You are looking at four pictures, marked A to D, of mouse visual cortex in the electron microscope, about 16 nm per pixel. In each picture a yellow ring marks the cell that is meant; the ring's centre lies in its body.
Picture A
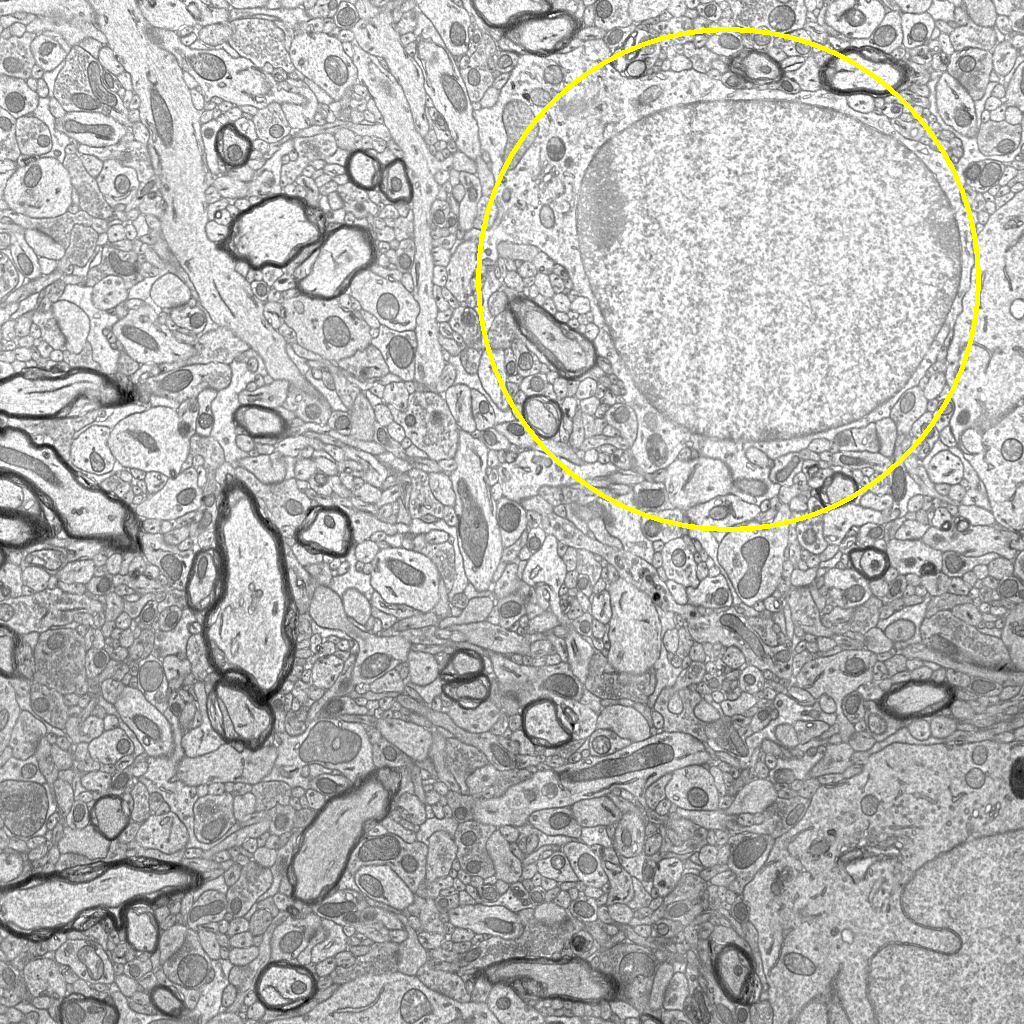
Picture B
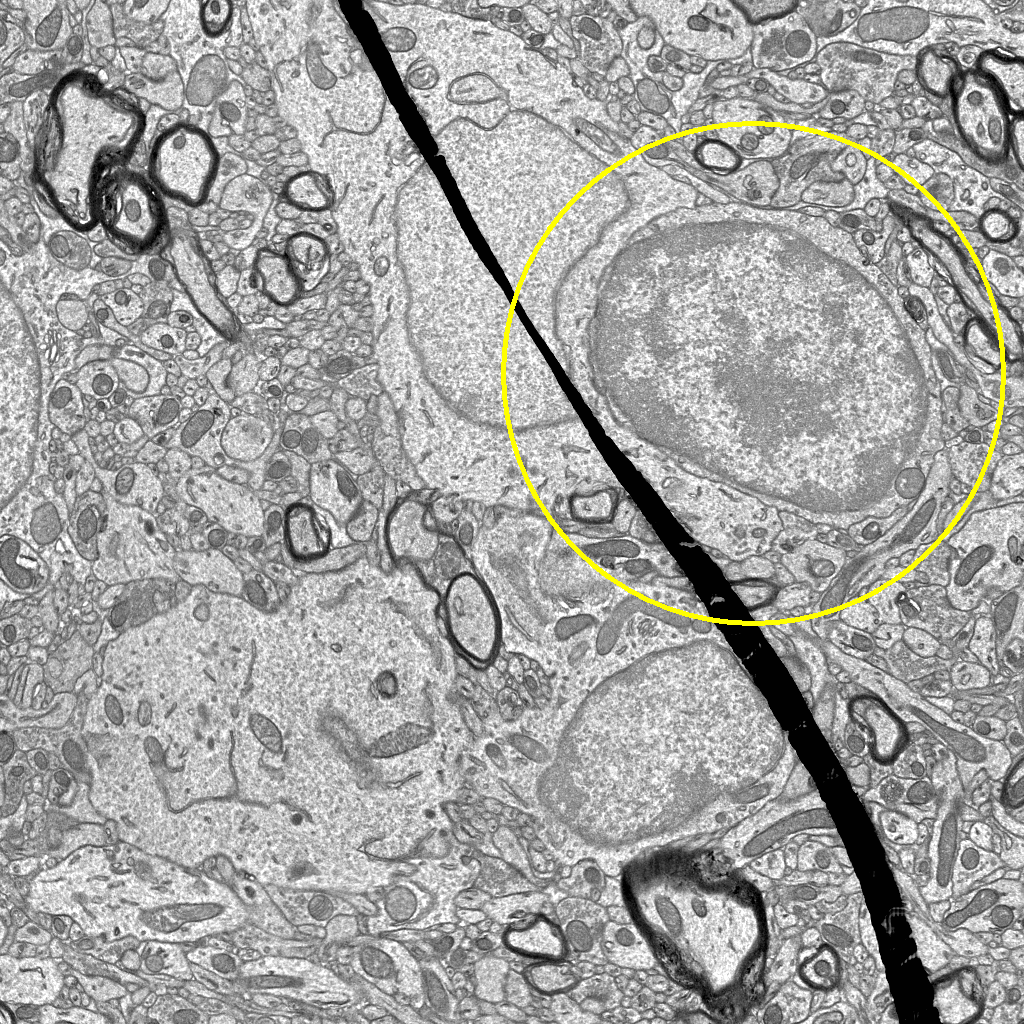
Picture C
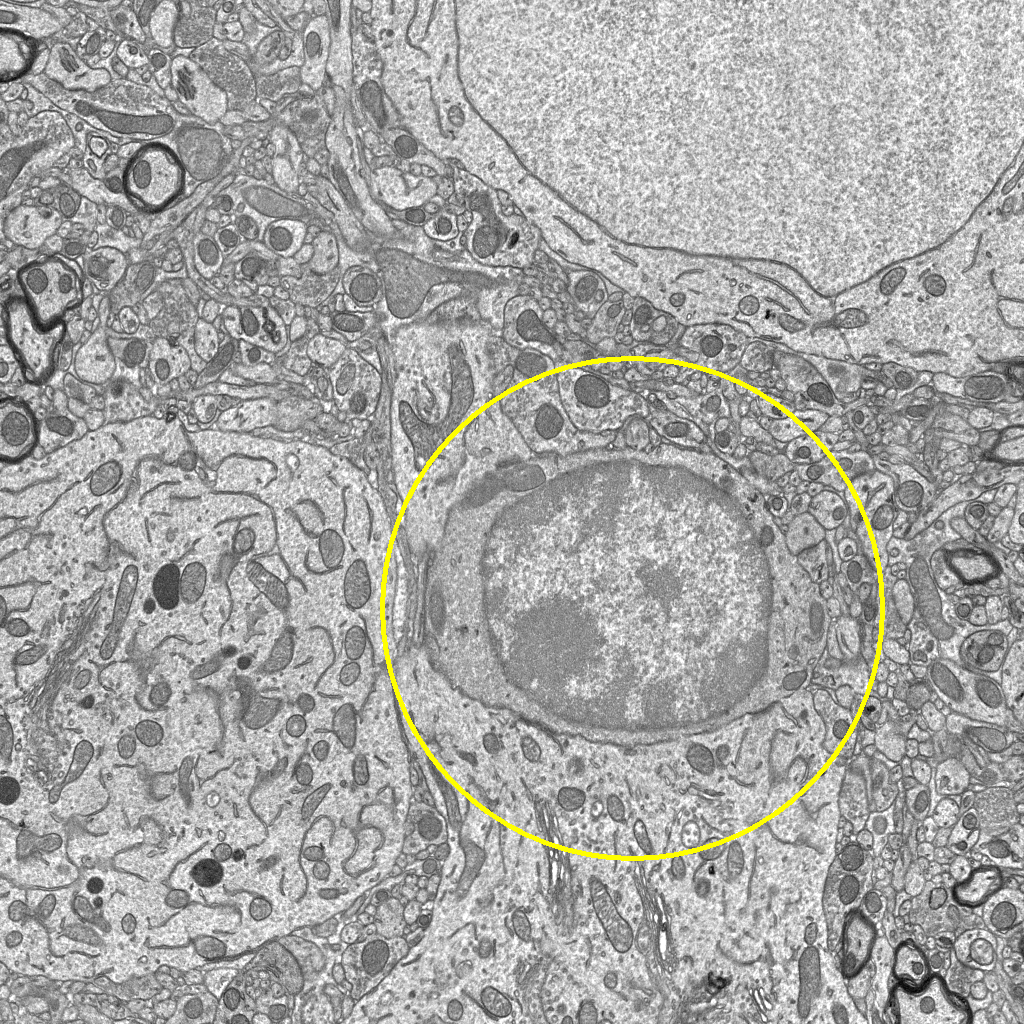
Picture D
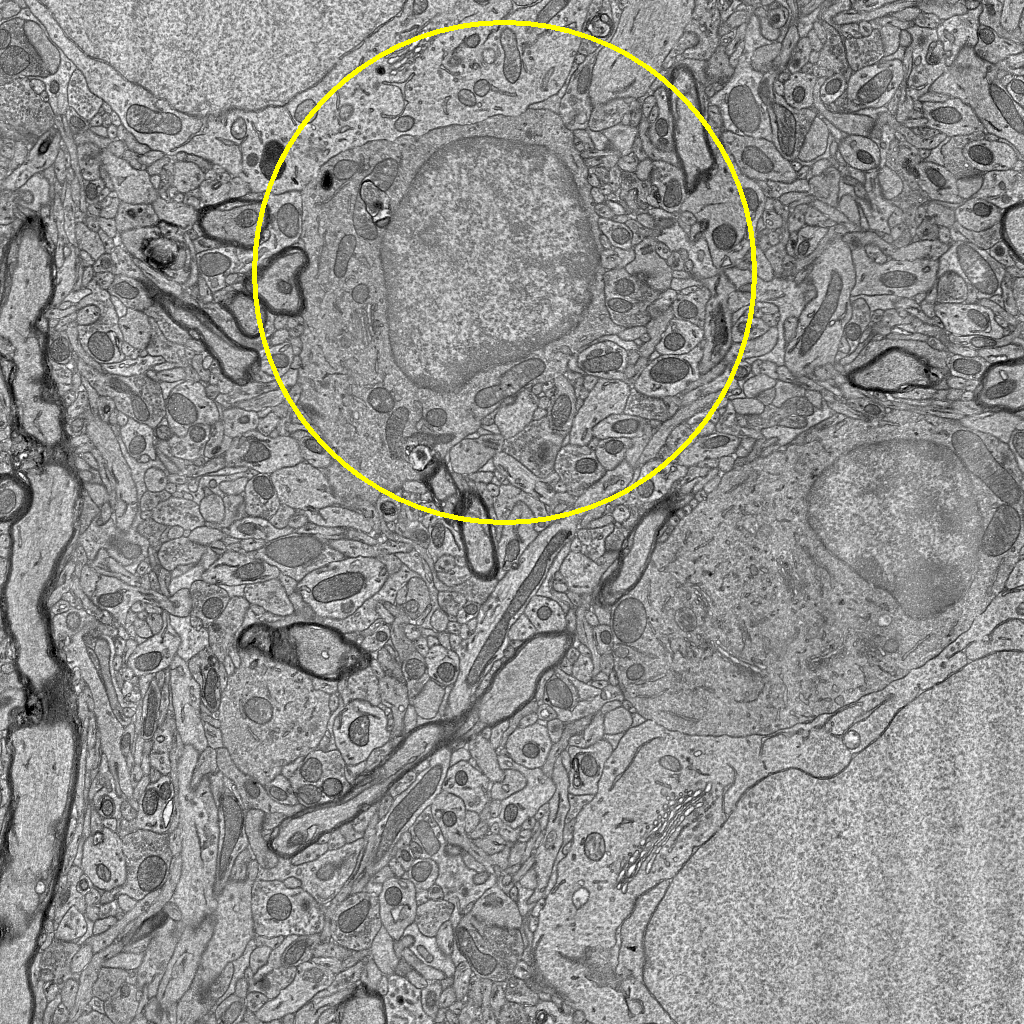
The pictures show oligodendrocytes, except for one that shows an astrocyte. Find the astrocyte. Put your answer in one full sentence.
The picture with the astrocyte is A.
